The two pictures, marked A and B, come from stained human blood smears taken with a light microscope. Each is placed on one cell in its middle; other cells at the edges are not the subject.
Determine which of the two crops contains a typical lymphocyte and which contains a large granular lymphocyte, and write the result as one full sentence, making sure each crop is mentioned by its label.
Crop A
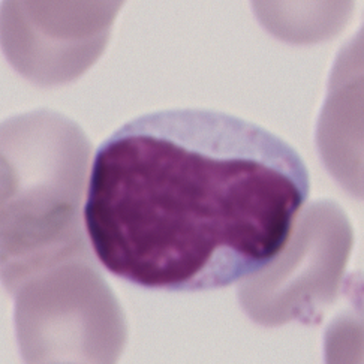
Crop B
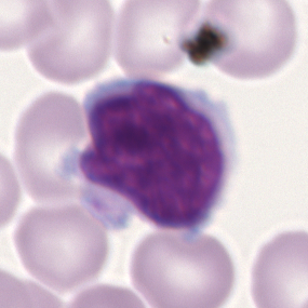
What is seen in crop A is a large granular lymphocyte; what is seen in crop B is a typical lymphocyte.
